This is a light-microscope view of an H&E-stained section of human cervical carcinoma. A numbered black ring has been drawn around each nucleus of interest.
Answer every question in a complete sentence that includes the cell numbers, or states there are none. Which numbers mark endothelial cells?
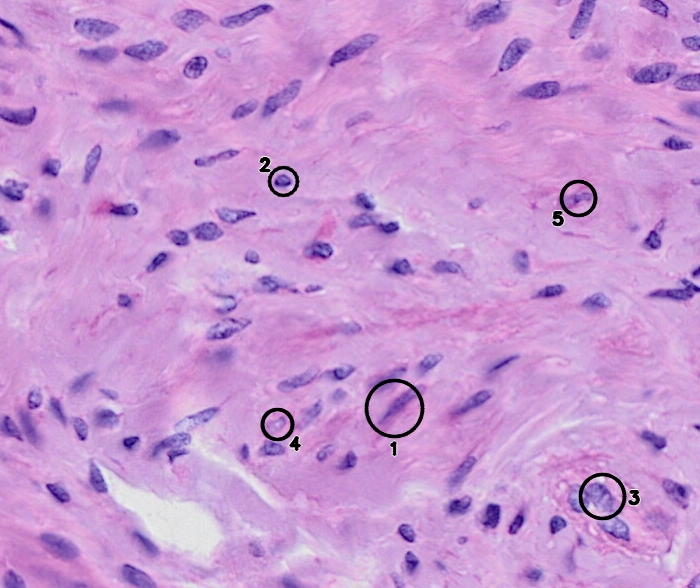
Among all the marked cells, an endothelial cell is found only at number 3.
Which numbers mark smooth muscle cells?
The cells numbered 1, 4 and 5 are, by type, smooth muscle cells.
